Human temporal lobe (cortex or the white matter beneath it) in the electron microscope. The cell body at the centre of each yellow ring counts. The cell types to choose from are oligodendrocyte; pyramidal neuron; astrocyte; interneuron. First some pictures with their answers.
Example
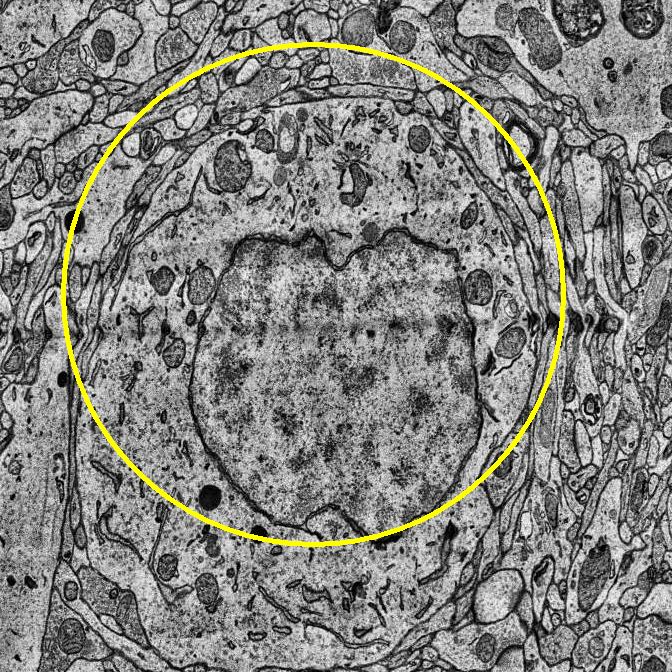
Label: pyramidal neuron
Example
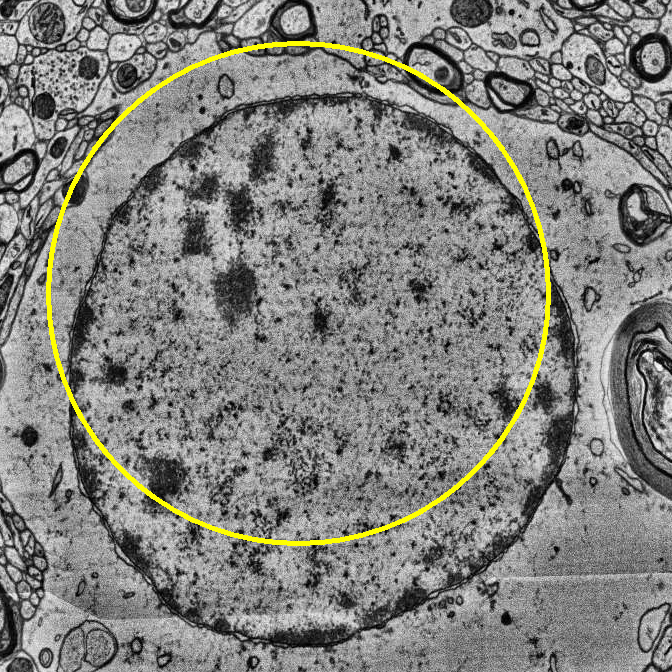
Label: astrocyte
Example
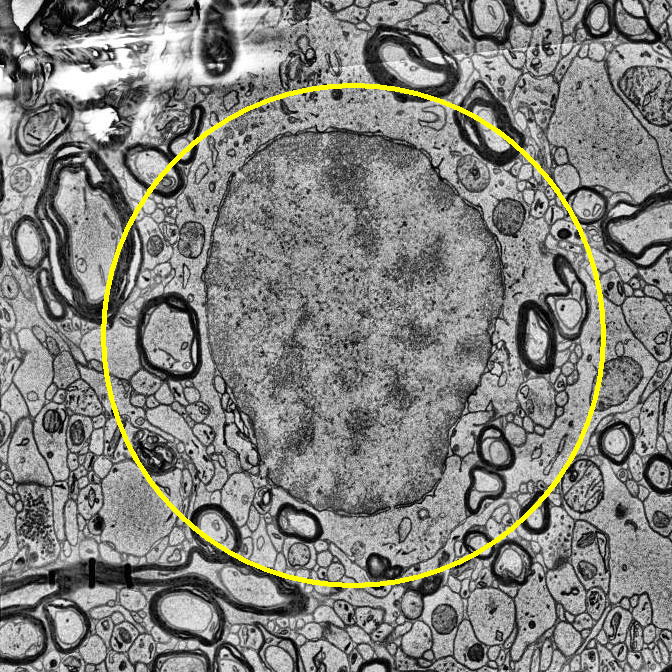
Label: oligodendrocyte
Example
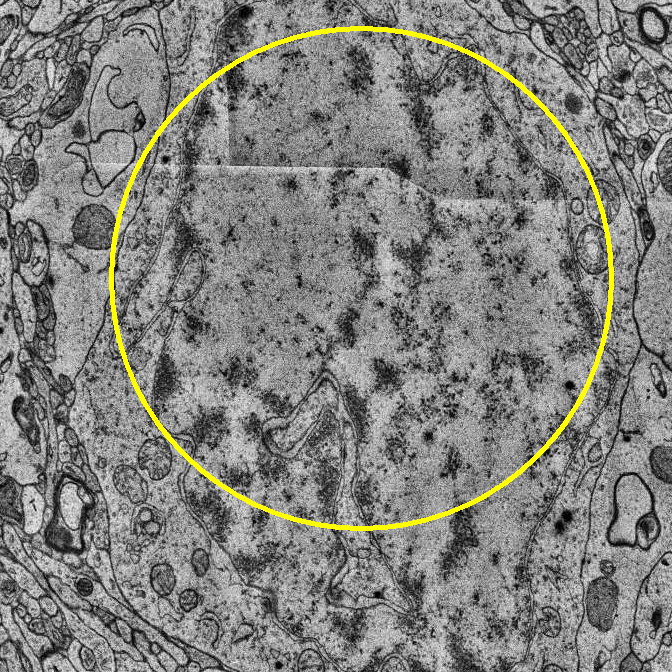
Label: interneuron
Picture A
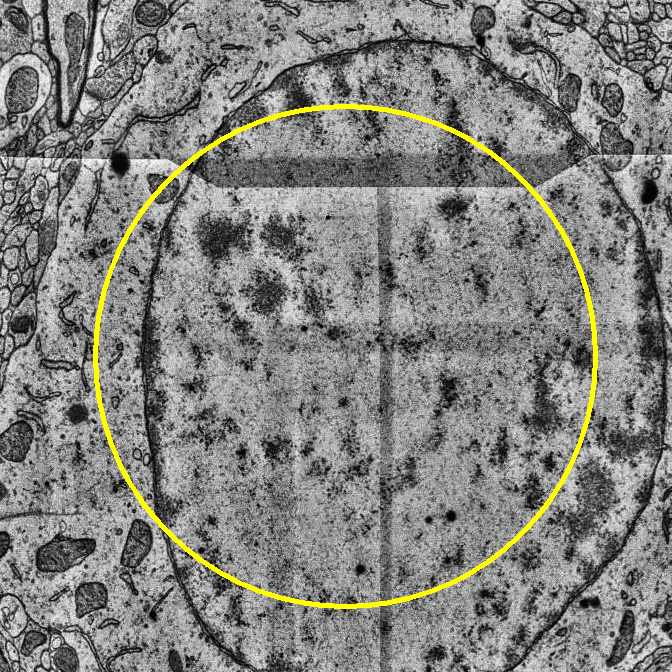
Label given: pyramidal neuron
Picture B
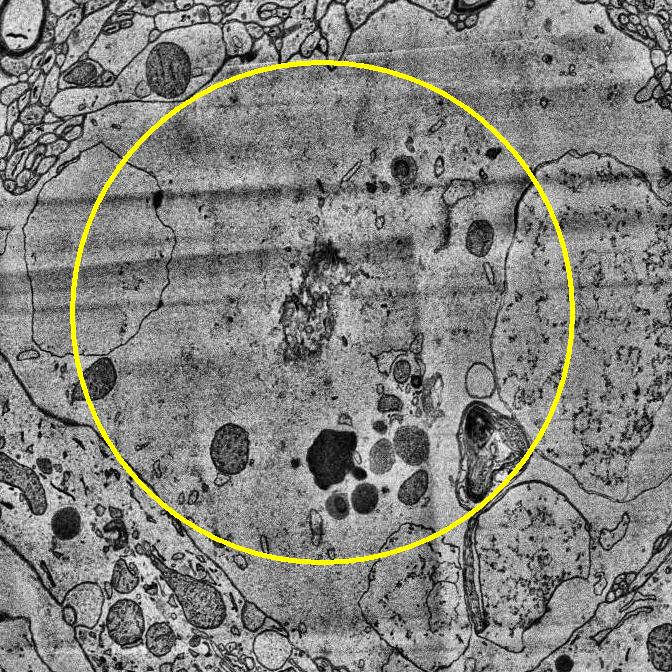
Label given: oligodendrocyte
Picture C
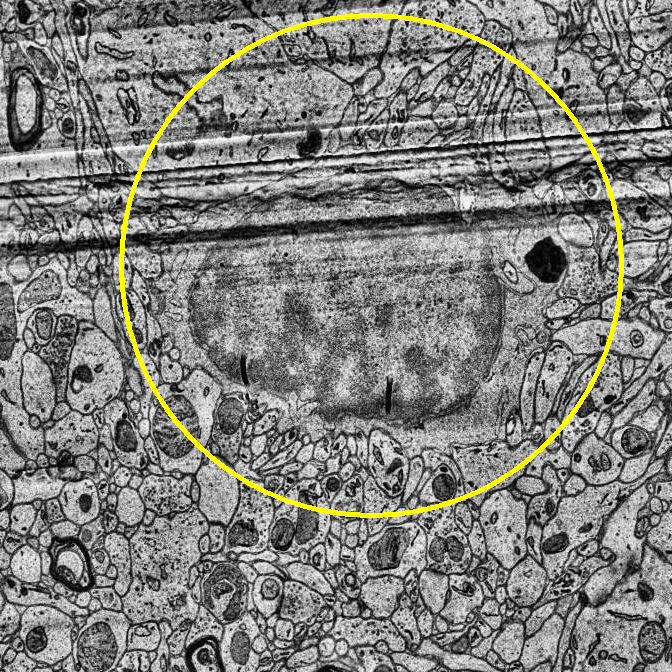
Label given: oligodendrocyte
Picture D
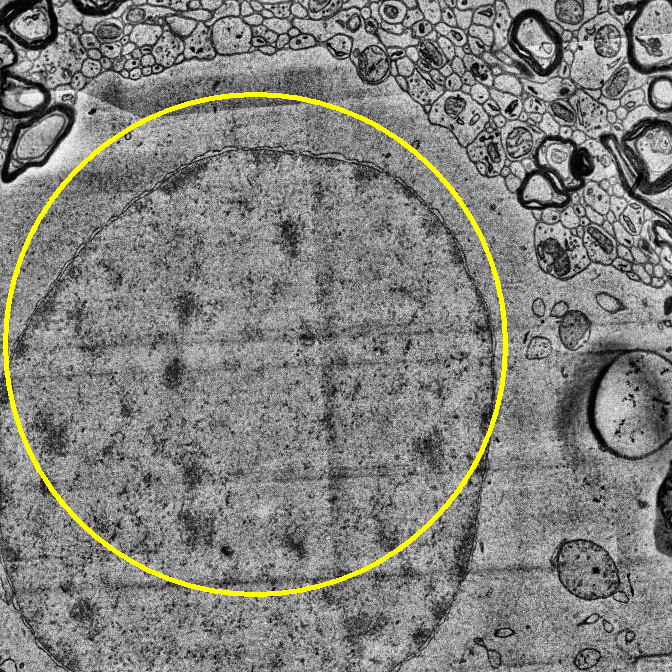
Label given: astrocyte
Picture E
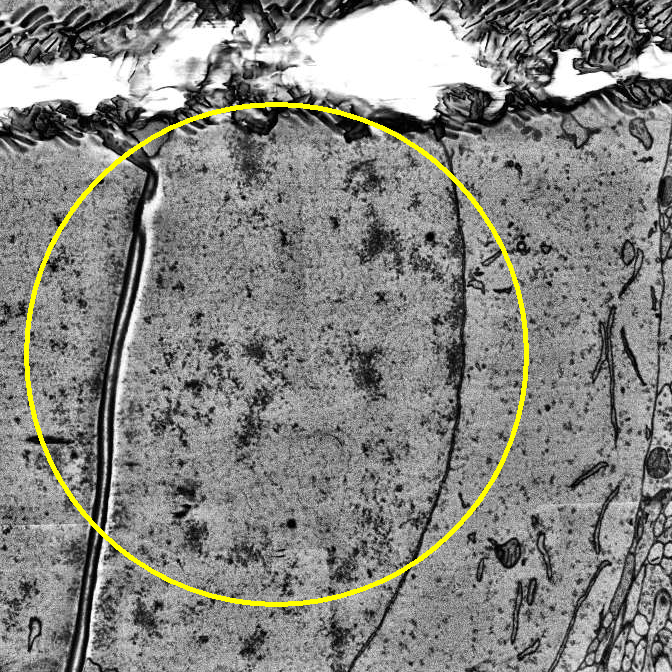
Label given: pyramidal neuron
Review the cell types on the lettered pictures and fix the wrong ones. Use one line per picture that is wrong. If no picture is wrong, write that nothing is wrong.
B: change oligodendrocyte to astrocyte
